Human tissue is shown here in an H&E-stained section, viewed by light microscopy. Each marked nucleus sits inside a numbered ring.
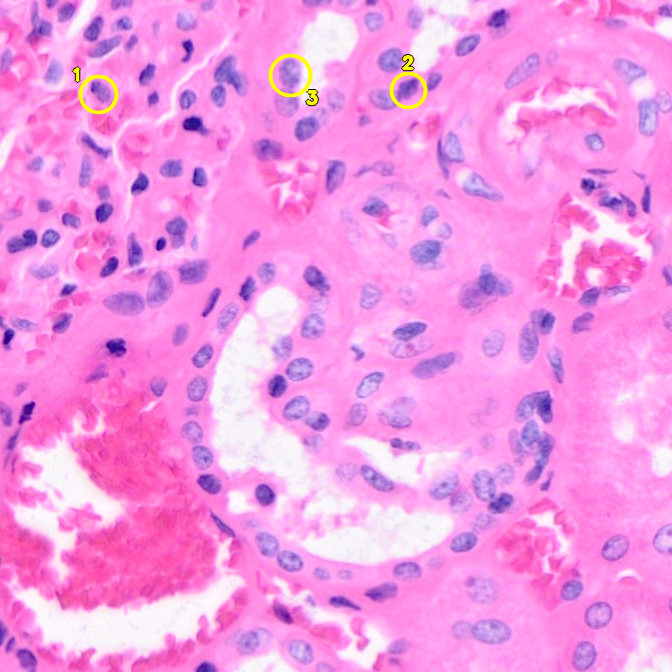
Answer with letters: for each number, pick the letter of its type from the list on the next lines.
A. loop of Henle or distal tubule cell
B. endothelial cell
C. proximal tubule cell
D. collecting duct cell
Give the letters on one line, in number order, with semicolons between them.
B; D; D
